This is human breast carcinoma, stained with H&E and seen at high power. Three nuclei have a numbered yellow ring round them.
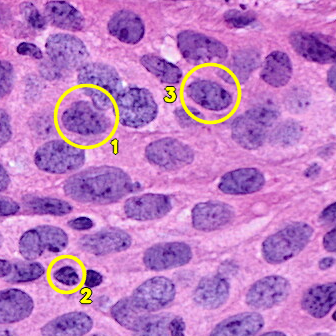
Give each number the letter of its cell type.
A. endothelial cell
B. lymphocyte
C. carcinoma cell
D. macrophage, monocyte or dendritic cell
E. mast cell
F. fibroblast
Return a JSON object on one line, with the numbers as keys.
{"1": "C", "2": "B", "3": "C"}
